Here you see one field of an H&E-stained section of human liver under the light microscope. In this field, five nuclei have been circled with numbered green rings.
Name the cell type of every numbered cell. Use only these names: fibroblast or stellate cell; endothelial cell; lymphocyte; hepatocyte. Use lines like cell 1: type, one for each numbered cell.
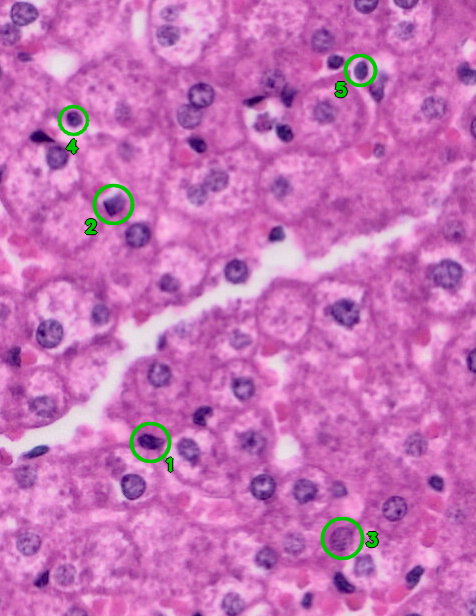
cell 1: fibroblast or stellate cell
cell 2: endothelial cell
cell 3: hepatocyte
cell 4: lymphocyte
cell 5: lymphocyte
